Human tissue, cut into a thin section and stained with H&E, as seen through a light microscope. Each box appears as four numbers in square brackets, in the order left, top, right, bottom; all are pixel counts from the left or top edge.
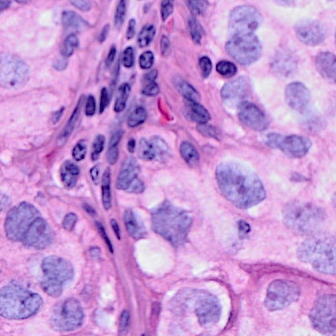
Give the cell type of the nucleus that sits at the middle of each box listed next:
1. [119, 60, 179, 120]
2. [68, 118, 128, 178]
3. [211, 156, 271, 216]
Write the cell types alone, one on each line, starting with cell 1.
endothelial cell
lymphocyte
carcinoma cell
